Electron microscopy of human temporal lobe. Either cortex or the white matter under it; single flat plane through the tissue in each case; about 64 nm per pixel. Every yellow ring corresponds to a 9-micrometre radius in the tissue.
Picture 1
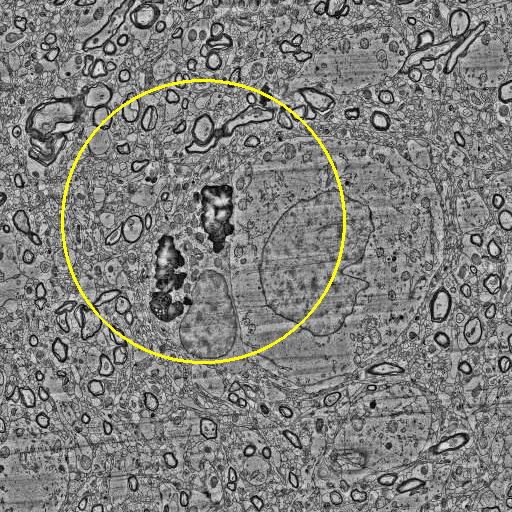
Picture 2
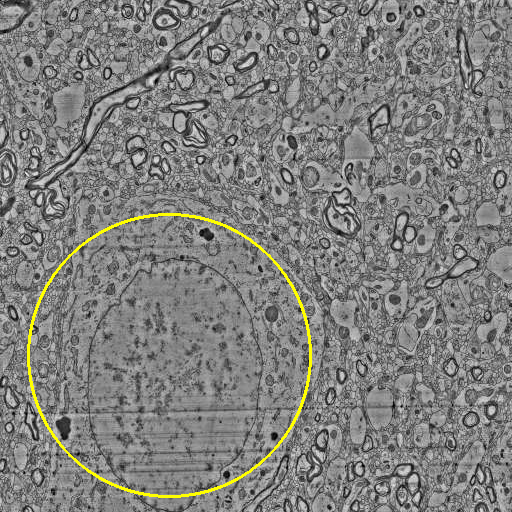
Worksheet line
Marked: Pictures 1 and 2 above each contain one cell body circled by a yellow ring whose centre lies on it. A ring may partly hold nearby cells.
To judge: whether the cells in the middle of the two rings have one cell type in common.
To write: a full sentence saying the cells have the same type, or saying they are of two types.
The cells in the middle of the rings in Picture 1 and Picture 2 are of two types.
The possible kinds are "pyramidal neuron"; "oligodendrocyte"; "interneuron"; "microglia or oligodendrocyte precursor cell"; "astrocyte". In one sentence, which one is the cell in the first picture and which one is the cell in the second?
The cell ringed in the second picture is a pyramidal neuron, whereas the one ringed in the first is an oligodendrocyte.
